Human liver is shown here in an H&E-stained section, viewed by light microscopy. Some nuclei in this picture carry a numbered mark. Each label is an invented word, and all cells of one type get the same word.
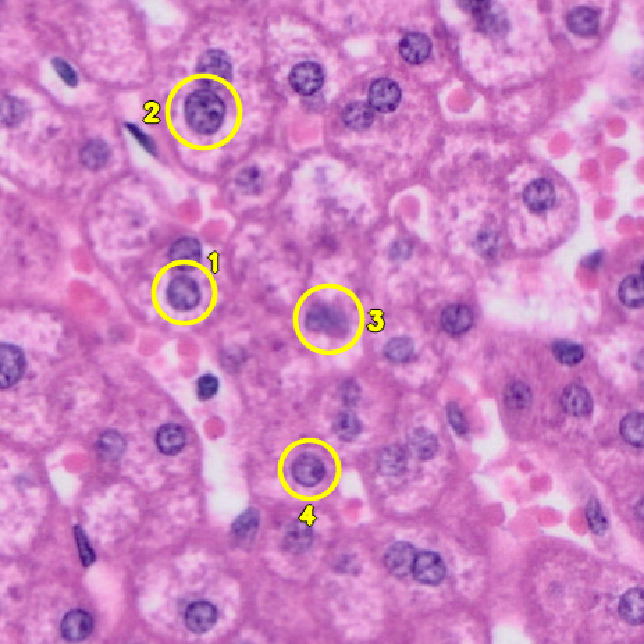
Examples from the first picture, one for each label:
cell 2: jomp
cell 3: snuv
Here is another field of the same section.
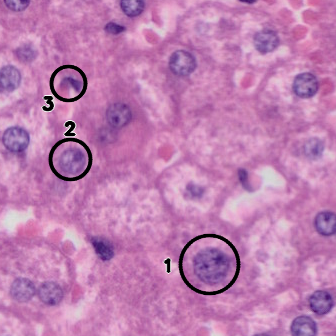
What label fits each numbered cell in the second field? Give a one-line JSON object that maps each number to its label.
{"1": "jomp", "2": "jomp", "3": "snuv"}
